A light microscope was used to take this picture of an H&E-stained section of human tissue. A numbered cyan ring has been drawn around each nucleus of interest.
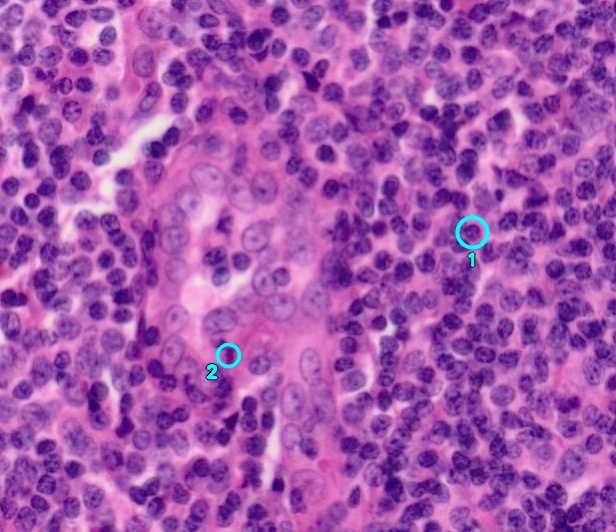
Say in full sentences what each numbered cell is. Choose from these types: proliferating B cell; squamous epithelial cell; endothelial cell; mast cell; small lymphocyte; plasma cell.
Cell 1 is a small lymphocyte and cell 2 is an endothelial cell.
